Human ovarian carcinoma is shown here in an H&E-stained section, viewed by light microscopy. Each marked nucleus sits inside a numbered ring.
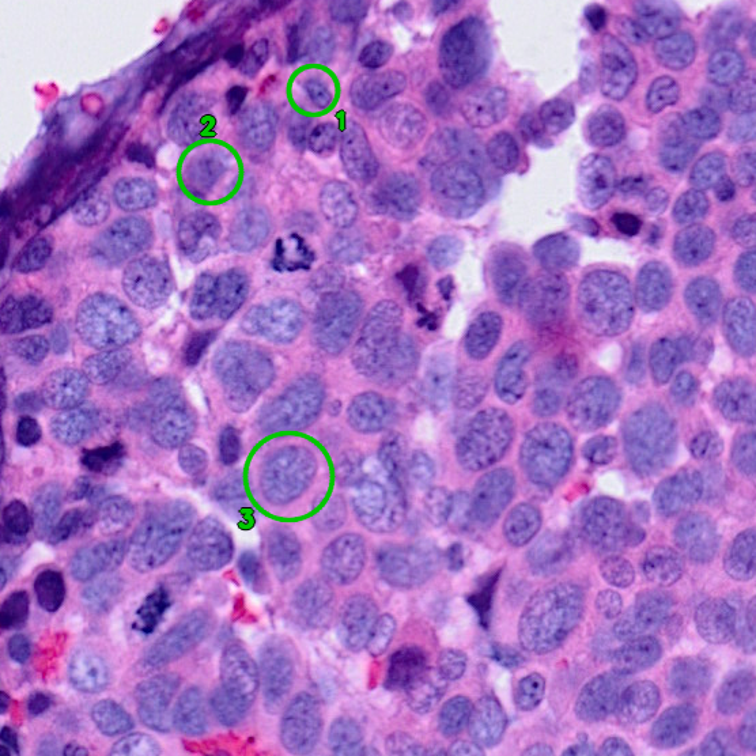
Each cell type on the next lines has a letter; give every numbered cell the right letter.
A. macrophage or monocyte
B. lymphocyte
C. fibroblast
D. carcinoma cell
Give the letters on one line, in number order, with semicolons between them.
A; D; D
